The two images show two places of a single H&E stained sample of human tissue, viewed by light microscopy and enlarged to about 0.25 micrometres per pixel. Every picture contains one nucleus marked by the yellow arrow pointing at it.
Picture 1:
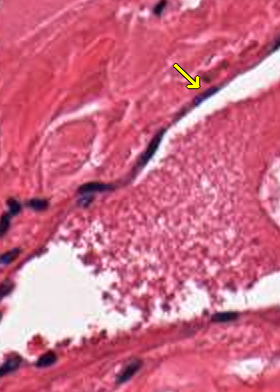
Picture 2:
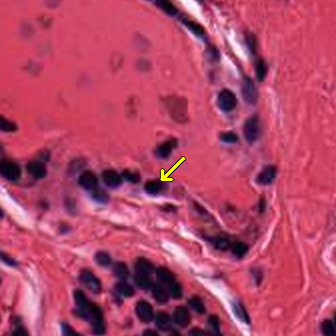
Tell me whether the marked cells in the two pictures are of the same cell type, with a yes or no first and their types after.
No, the first is an endothelial cell and the second a thyroid follicular cell.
